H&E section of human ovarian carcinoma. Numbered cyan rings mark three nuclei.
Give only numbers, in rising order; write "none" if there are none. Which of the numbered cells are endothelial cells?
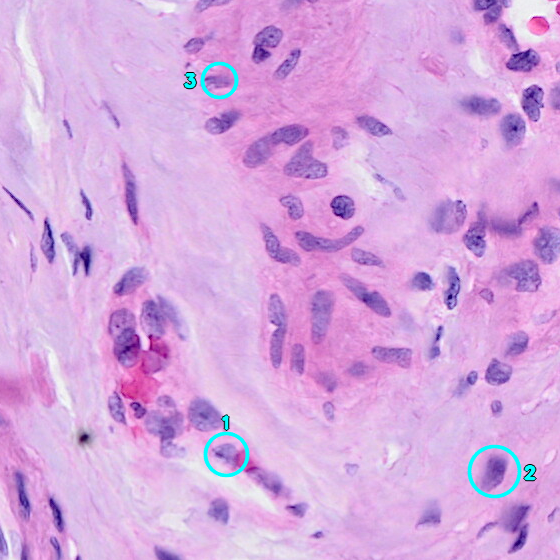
1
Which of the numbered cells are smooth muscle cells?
3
